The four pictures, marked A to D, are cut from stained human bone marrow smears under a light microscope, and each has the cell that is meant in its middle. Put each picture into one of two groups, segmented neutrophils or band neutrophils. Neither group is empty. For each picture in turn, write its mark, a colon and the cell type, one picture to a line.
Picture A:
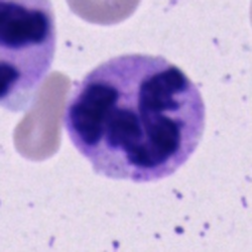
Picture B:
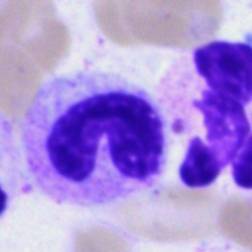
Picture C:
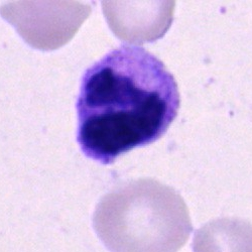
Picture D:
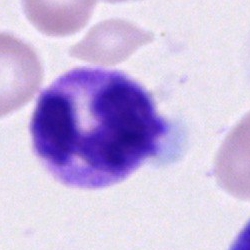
A: segmented neutrophil
B: band neutrophil
C: segmented neutrophil
D: segmented neutrophil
